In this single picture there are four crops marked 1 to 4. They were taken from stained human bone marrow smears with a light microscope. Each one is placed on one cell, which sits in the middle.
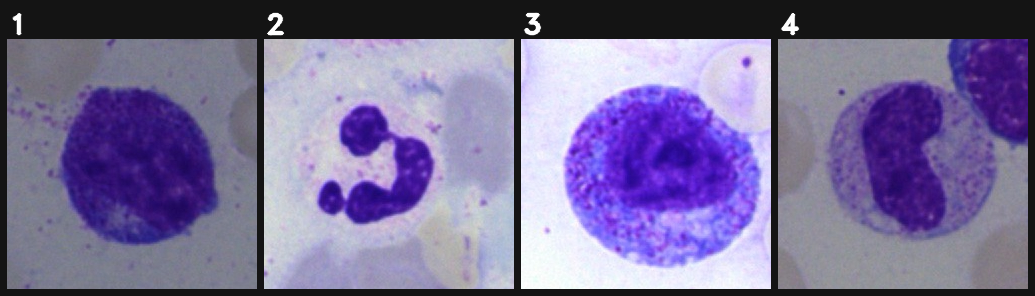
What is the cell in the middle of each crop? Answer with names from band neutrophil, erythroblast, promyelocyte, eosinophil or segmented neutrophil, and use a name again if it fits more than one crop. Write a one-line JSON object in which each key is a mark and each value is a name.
{"1": "promyelocyte", "2": "segmented neutrophil", "3": "promyelocyte", "4": "band neutrophil"}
